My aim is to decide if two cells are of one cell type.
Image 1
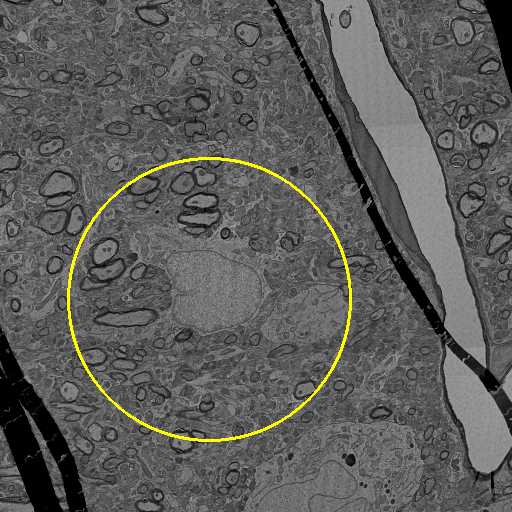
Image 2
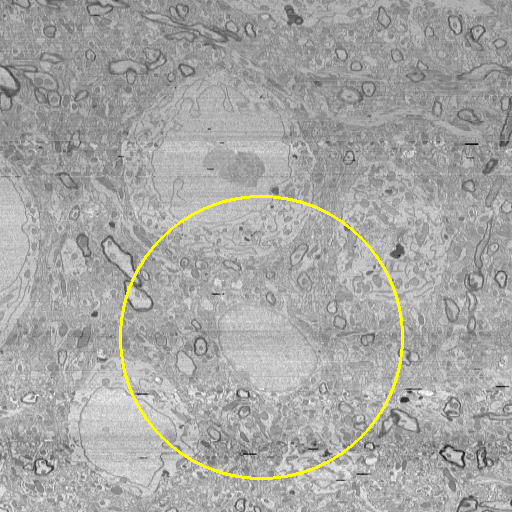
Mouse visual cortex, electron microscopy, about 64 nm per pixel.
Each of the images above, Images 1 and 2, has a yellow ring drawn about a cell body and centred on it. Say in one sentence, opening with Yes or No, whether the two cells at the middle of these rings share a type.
Yes, in Images 1 and 2 the cells at the middle of the rings share one type.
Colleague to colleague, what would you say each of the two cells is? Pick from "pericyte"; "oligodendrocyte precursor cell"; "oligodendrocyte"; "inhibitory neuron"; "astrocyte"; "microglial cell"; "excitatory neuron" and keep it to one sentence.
Both pictures show an astrocyte at the centre of the ring.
